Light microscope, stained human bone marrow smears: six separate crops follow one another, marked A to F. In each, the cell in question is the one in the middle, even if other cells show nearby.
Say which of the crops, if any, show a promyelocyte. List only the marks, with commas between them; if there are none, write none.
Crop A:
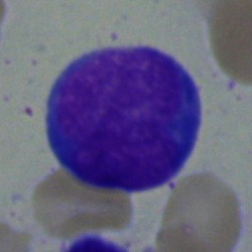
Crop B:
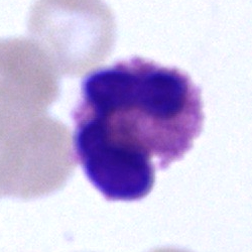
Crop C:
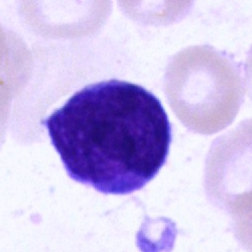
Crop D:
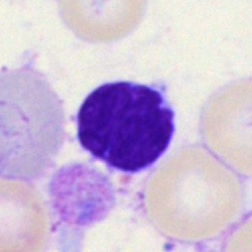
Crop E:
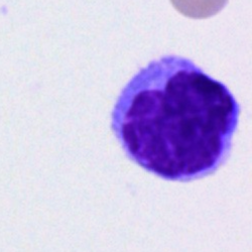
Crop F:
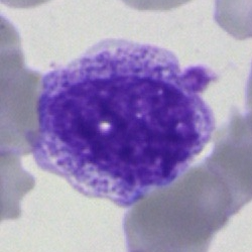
none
